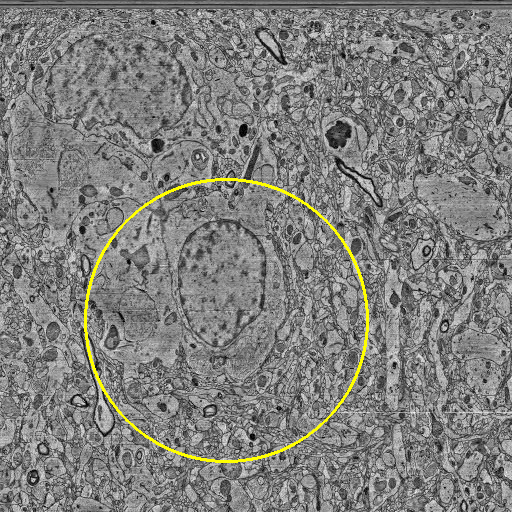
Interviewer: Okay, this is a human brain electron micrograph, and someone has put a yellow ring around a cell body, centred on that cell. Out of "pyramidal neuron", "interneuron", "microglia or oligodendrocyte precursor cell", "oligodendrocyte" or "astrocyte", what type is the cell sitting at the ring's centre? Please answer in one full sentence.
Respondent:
The cell at the centre of the yellow ring in this picture is an astrocyte.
